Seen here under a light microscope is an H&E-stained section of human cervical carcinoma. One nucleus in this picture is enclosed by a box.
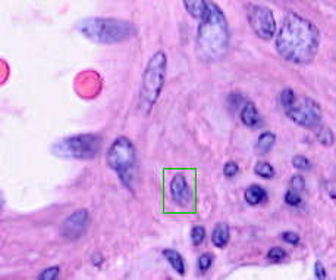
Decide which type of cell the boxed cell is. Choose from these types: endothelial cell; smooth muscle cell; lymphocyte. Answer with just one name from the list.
smooth muscle cell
